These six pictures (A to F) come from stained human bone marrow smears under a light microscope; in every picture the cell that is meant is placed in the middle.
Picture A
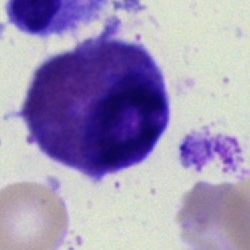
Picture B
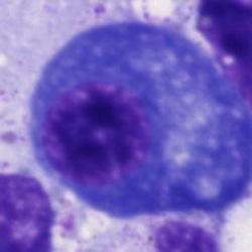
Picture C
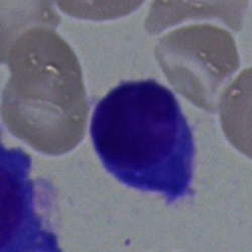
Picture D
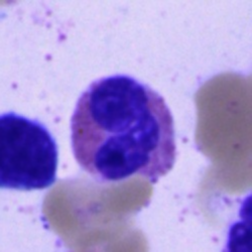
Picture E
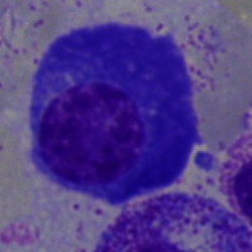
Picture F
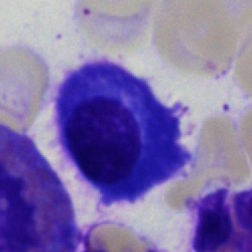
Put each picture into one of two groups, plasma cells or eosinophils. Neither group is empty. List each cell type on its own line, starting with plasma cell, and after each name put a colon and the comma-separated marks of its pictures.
plasma cell: B, C, E, F
eosinophil: A, D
